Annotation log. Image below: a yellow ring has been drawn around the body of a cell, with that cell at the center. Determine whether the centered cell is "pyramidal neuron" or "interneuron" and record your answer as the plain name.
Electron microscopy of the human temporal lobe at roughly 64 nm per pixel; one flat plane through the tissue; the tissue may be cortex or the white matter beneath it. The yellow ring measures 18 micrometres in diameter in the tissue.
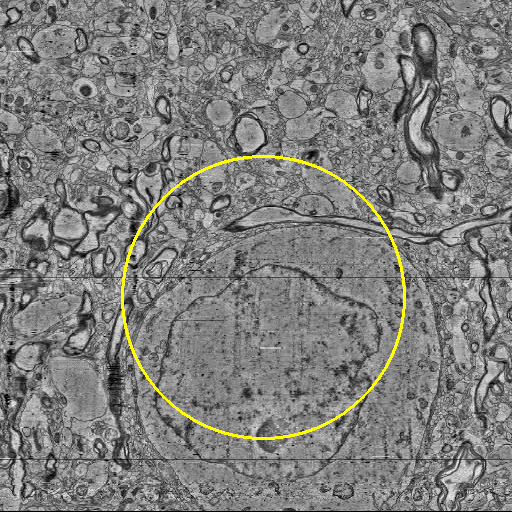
pyramidal neuron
